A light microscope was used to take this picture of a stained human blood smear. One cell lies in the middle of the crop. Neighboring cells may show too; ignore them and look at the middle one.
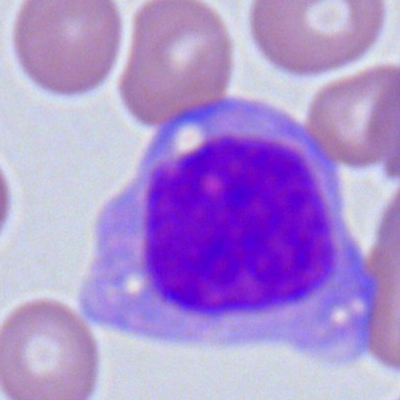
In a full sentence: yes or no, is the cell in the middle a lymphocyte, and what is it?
No, calling it a lymphocyte is wrong; the middle cell is a monocyte.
